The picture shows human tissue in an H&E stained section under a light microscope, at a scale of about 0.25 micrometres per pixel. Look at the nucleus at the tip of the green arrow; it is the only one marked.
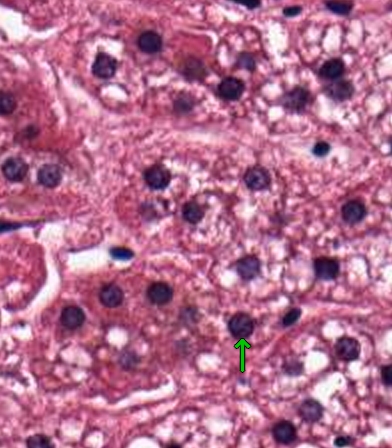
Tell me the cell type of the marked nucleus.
adrenal cortical cell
